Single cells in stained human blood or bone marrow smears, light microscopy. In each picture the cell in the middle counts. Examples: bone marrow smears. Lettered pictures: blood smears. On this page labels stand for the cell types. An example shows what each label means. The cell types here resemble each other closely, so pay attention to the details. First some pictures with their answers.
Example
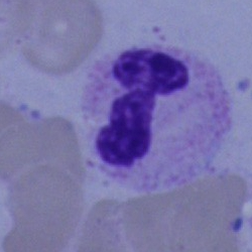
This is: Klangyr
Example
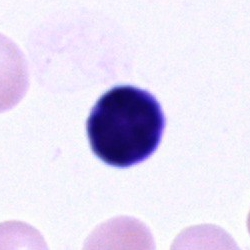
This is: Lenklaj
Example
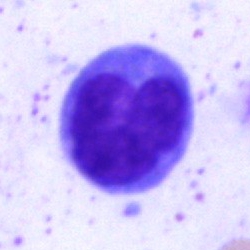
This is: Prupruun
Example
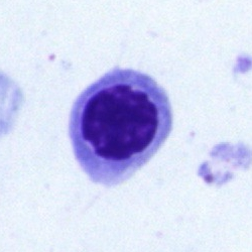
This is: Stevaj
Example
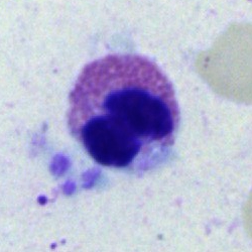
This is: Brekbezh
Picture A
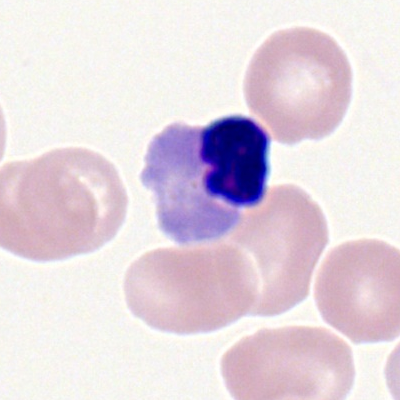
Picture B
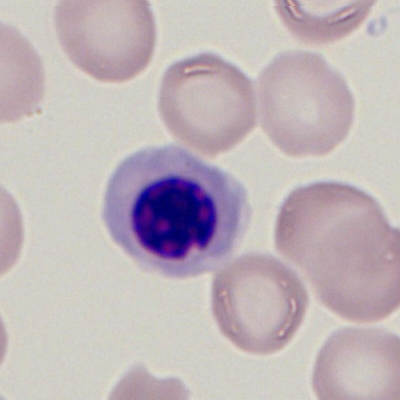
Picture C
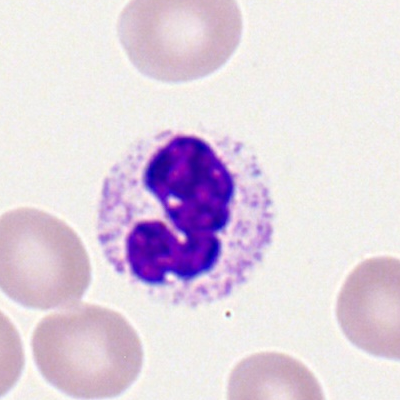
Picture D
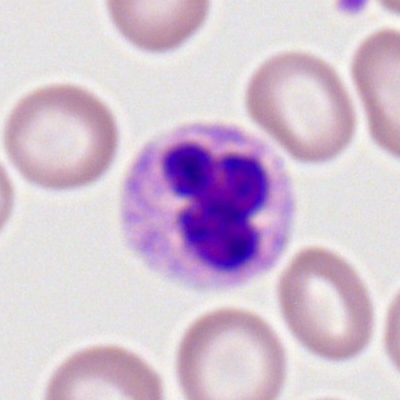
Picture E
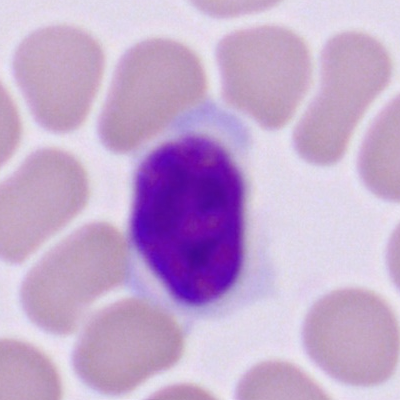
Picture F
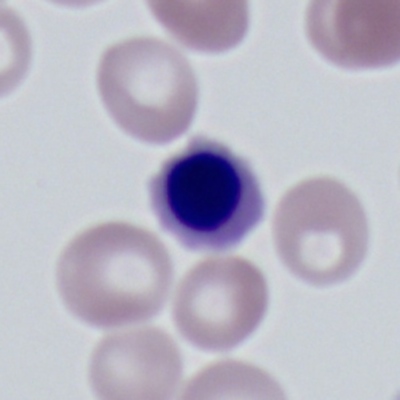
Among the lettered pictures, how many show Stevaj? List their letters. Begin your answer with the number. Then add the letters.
3: A, B, F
